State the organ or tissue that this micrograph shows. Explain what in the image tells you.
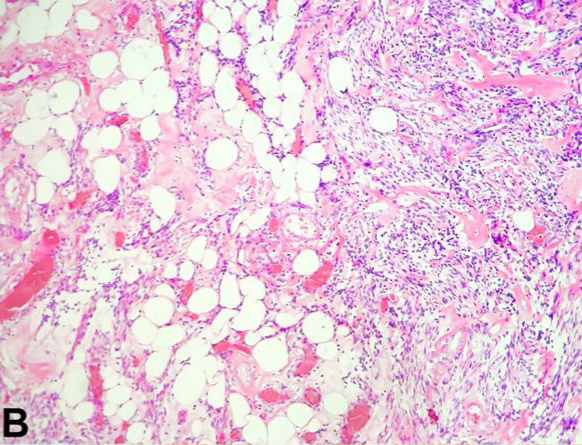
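Mature adipose tissue. Fat clusters lie beside cellular spindle cell areas.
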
